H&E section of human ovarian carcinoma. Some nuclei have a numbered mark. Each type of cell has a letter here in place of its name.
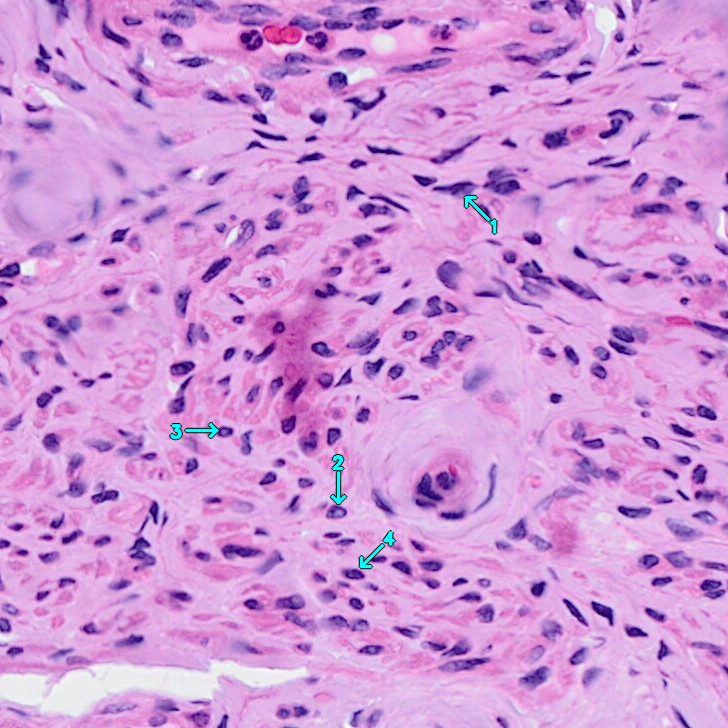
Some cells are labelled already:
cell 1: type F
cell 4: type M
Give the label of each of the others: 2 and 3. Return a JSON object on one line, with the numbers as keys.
{"2": "type M", "3": "type M"}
